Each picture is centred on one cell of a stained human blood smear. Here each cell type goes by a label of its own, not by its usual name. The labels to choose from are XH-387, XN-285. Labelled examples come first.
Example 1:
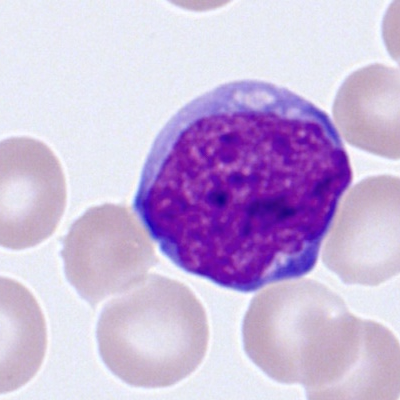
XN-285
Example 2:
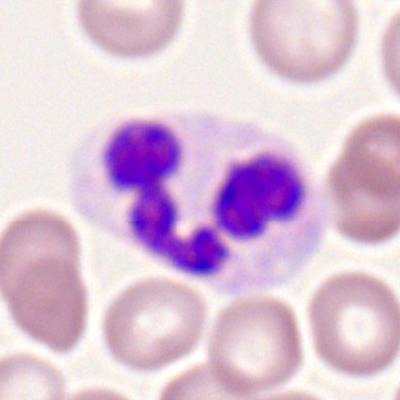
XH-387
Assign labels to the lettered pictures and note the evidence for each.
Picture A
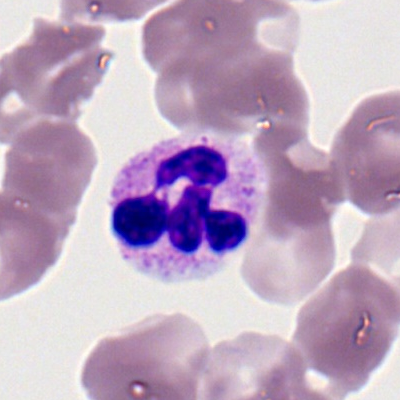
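XH-387. Evidence: The nucleus is divided into four separate lobes.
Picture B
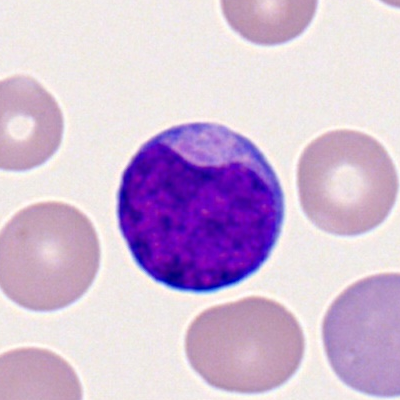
XN-285. Evidence: The nucleus fills most of the cell.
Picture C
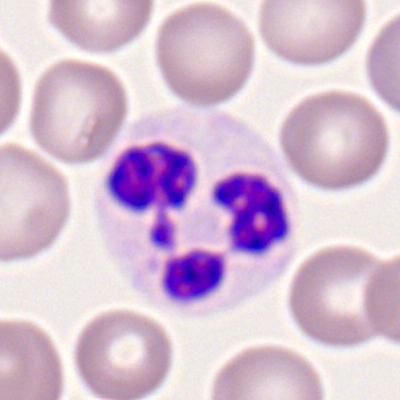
XH-387. Evidence: The cytoplasm is abundant and pale pink-lilac.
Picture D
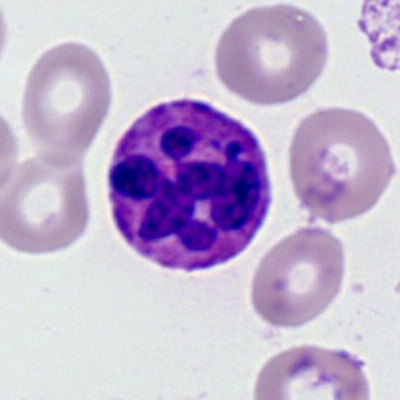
XH-387. Evidence: The nucleus is split into more than four separate lobes.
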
